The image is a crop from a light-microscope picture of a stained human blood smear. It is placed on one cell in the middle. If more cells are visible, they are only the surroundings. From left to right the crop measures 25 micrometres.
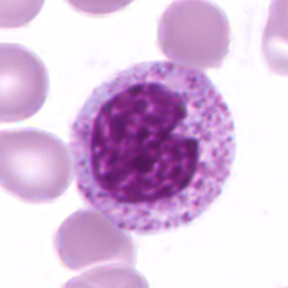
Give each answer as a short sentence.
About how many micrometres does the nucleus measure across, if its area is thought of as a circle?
Taken as a circle, the nucleus has a diameter of about 10 micrometres.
